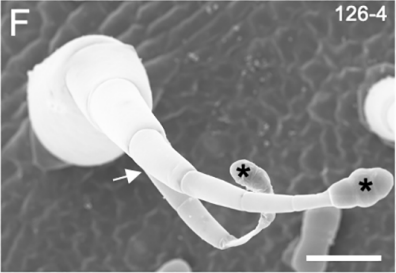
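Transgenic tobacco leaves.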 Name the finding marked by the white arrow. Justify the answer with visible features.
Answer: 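A multicellular hair splits into two arms near the arrow. Each arm ends in a rounded tip. That points to this answer: abnormal branching.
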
